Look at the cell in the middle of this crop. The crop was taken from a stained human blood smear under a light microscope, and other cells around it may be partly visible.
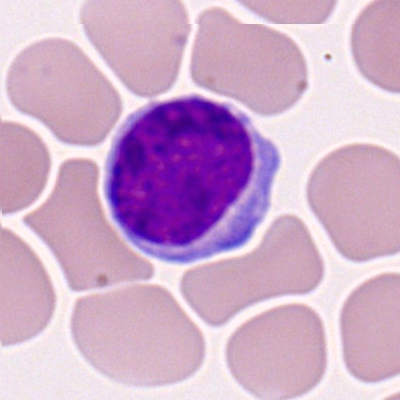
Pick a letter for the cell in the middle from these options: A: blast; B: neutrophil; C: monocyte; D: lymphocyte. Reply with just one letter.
D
